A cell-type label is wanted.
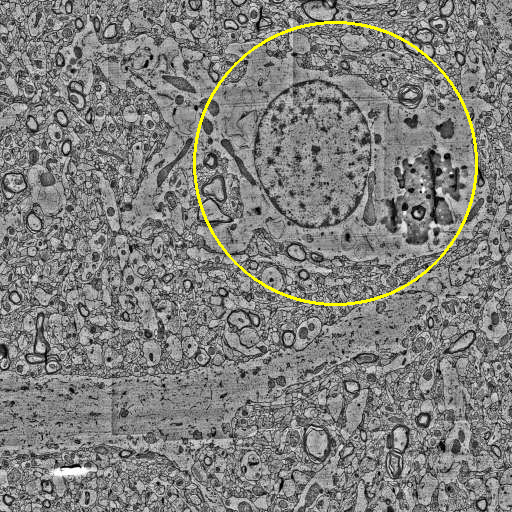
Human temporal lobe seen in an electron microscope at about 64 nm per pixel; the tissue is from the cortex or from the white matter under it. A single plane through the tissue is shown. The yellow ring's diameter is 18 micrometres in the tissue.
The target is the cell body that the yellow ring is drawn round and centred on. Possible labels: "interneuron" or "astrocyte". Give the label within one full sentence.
Of the labels offered, the cell in the middle of the yellow ring is an astrocyte.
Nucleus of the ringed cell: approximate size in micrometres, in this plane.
The nucleus is approximately 9 micrometers long by 8 micrometers wide in this plane.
